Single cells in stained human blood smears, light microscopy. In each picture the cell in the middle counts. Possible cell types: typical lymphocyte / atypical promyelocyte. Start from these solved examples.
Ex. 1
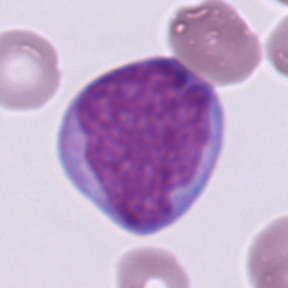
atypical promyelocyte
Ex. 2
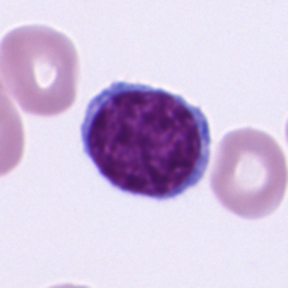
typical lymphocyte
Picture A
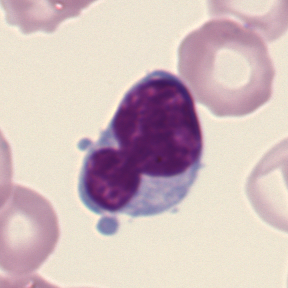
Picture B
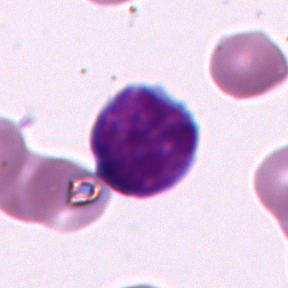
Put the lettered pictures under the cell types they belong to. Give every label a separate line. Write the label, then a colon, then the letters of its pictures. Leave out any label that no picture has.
typical lymphocyte: A, B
